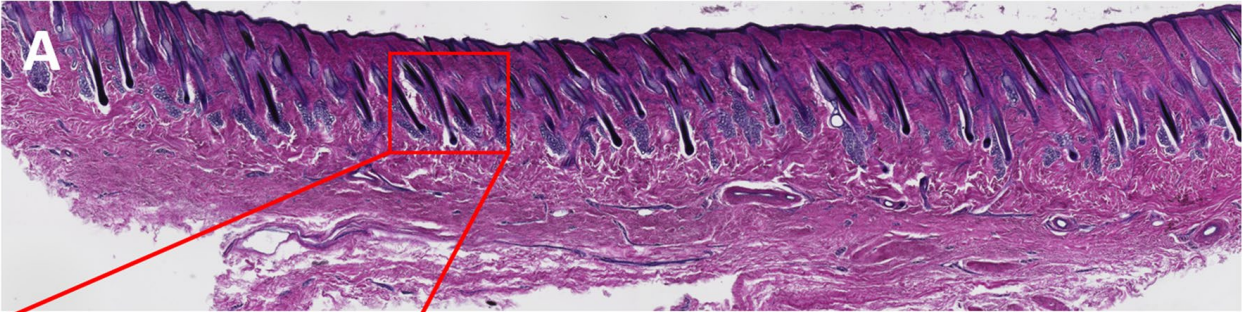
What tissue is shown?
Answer: Skin.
